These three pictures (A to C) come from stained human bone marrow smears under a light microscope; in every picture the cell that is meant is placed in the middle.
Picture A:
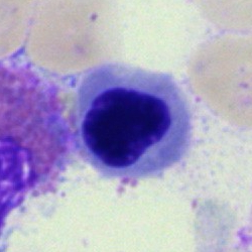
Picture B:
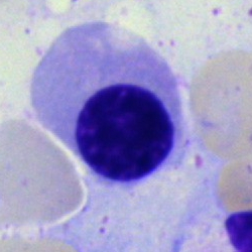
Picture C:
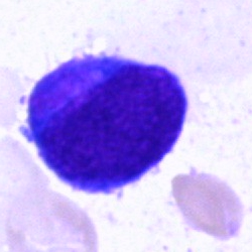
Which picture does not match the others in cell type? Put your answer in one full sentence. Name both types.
Picture C is the odd one out: it shows a blast, while the others show erythroblasts.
